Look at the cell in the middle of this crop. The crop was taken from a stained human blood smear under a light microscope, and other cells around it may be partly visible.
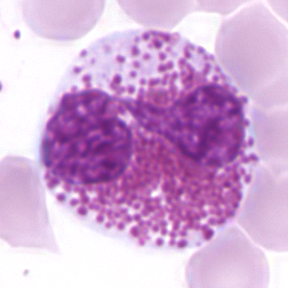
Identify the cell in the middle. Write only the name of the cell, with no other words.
eosinophil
